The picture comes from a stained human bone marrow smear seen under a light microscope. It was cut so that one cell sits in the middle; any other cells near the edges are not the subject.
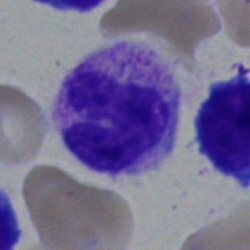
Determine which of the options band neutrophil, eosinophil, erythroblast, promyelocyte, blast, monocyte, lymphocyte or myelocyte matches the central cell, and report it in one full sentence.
In the central position of this crop, the cell is a band neutrophil.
